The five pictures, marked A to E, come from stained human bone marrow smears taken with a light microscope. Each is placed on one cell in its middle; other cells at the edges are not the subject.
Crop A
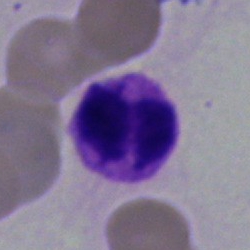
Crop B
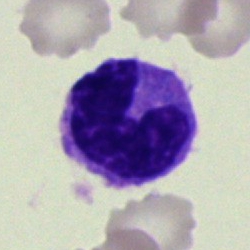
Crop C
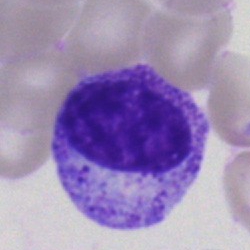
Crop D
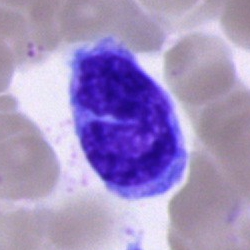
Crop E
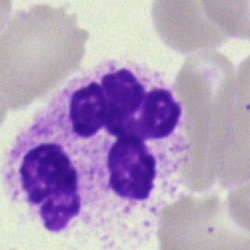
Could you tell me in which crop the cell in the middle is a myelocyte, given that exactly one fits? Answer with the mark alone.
C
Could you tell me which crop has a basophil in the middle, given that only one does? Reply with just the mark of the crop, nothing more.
A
